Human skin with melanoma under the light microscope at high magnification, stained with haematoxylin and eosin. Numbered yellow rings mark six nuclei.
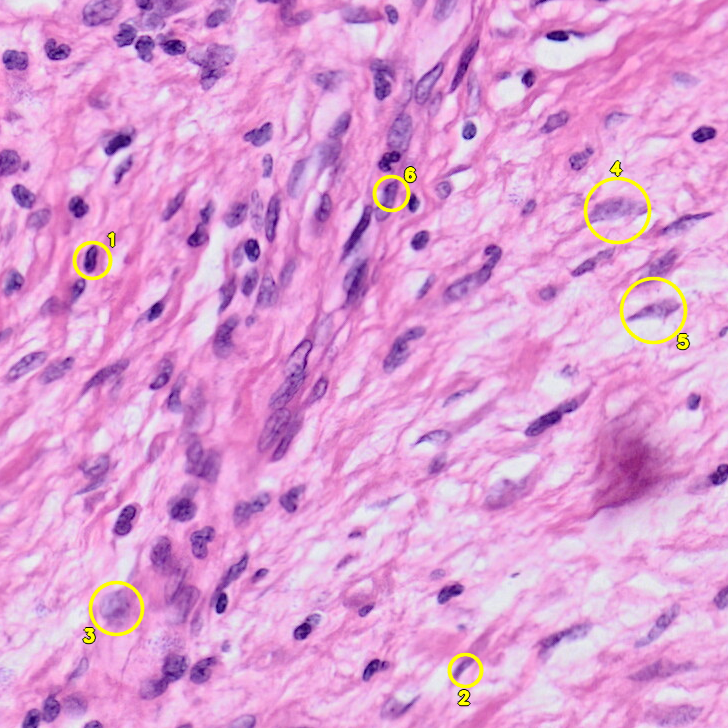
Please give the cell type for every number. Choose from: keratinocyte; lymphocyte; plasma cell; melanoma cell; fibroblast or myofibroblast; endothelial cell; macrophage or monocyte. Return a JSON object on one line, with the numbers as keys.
{"1": "lymphocyte", "2": "fibroblast or myofibroblast", "3": "fibroblast or myofibroblast", "4": "fibroblast or myofibroblast", "5": "fibroblast or myofibroblast", "6": "endothelial cell"}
